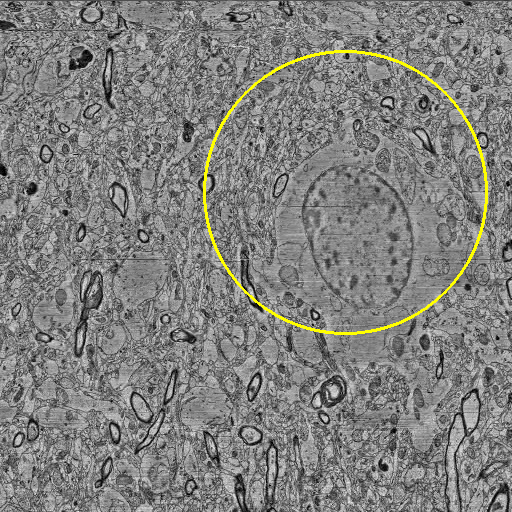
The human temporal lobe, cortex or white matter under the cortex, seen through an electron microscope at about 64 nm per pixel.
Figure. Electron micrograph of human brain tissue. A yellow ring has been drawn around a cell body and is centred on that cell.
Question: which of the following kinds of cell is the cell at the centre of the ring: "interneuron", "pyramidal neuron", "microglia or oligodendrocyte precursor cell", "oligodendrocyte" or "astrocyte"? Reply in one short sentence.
The cell at the centre of the ring is an astrocyte.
